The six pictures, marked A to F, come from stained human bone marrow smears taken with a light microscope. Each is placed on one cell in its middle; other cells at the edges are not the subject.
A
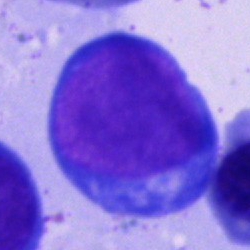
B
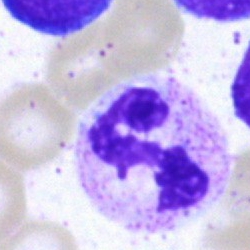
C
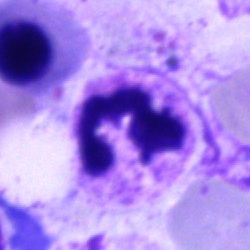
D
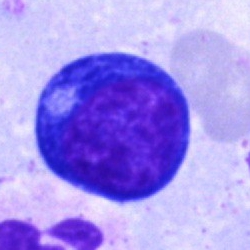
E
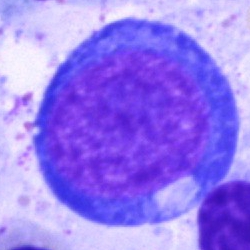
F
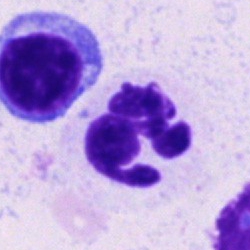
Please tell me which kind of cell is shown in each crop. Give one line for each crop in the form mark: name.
A: proerythroblast
B: neutrophil
C: neutrophil
D: proerythroblast
E: proerythroblast
F: neutrophil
